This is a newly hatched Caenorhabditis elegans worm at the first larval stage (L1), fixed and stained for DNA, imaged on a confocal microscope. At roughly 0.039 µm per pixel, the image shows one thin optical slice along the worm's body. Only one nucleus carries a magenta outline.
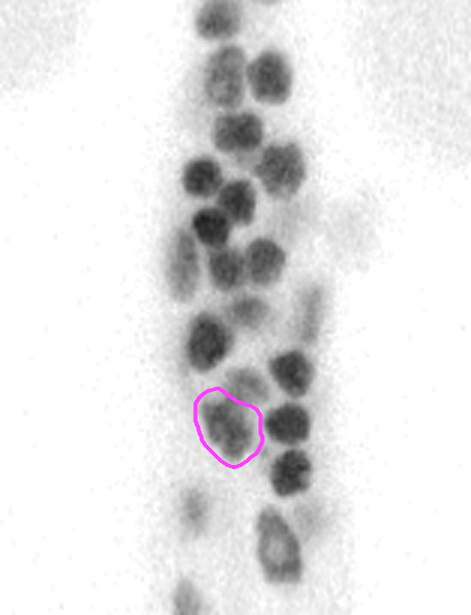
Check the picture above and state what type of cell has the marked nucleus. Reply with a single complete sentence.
The marked cell is a valve cell of the gut.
